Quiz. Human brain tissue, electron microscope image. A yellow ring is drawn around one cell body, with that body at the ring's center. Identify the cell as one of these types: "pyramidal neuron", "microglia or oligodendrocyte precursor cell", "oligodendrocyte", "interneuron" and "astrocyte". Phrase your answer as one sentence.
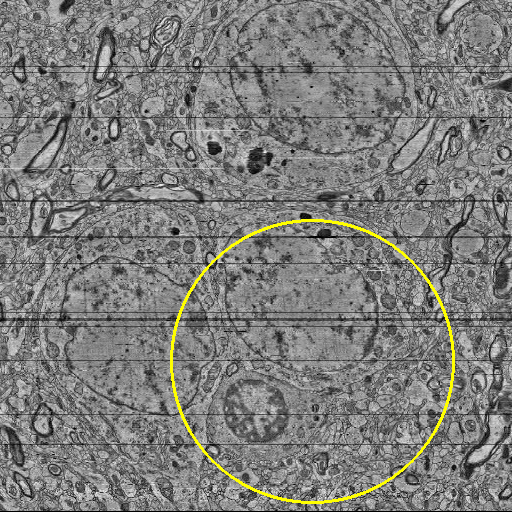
At the center of the ring sits an interneuron.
